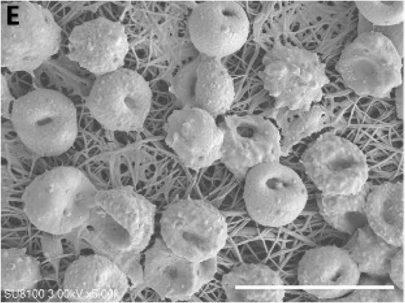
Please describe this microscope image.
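Here red blood cells rest in large numbers on a mat of fine, randomly crossing fibres. Most are rounded discs with a sunken centre, the classic biconcave form, and they carry no nucleus. Several have a rougher, bumpy surface and a few have a spiky, crenated outline instead of a smooth rim. The cells sit on top of the fibre network and partly in its gaps, packed close beside one another.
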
